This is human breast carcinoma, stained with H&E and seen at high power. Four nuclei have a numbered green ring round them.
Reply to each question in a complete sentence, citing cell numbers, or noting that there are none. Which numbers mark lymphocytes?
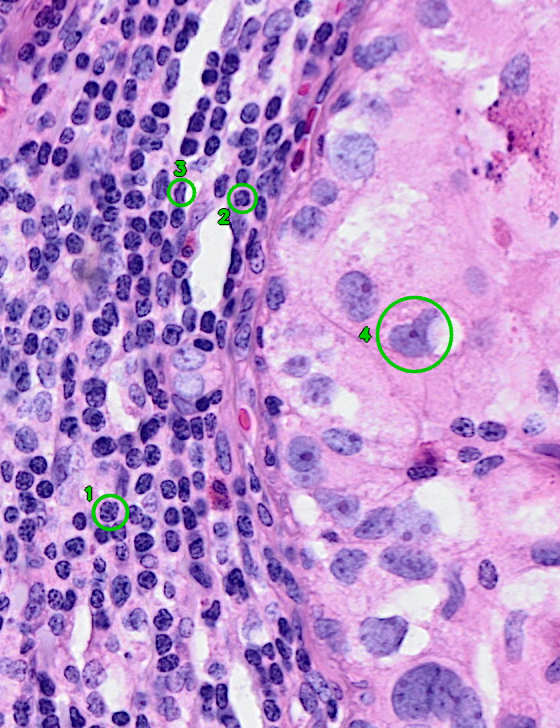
Cells that were given the numbers 1, 2 and 3 are lymphocytes.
